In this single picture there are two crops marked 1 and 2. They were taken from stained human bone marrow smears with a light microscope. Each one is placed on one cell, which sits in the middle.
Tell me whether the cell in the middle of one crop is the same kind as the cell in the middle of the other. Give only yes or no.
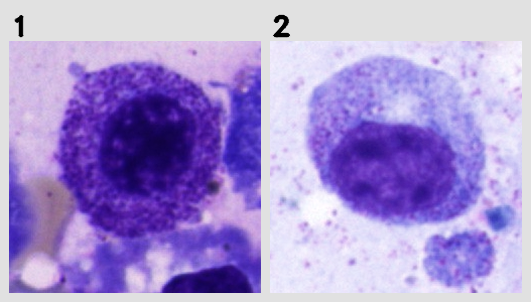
yes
